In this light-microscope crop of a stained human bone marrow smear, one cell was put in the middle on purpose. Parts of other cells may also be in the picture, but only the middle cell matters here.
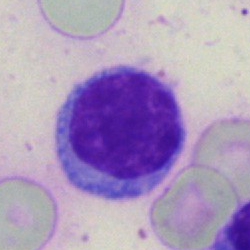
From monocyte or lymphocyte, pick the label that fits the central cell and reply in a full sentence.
Within this crop, a lymphocyte occupies the central position.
